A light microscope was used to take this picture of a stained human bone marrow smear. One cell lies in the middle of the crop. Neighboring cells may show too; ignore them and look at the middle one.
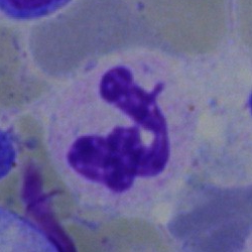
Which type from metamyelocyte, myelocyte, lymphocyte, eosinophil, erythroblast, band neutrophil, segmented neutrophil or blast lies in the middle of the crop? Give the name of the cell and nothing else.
segmented neutrophil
